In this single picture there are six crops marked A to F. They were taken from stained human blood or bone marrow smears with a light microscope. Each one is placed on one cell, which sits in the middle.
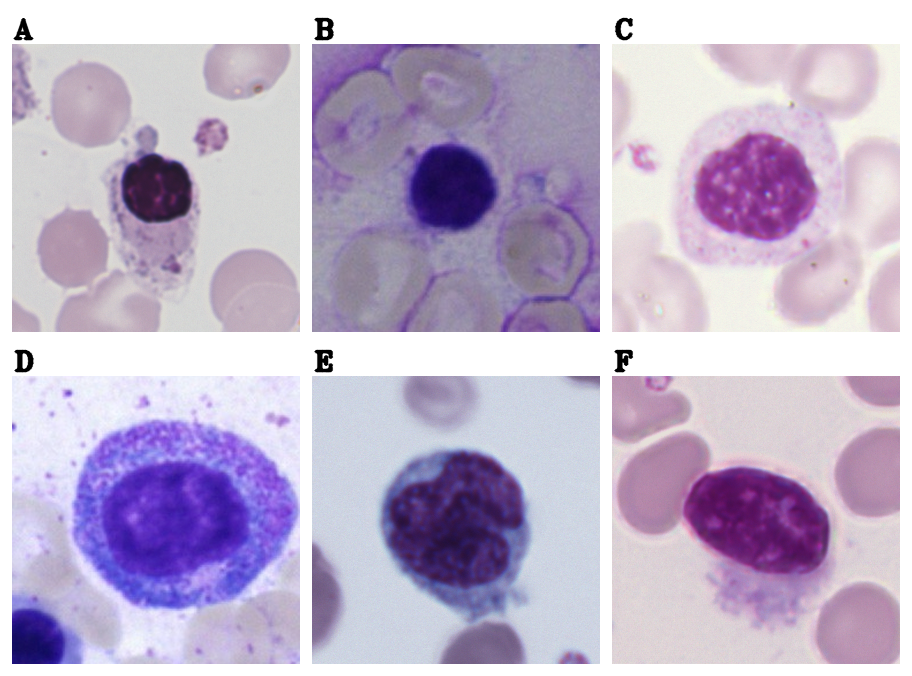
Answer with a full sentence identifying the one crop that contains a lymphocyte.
Crop B is where a lymphocyte is to be found.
